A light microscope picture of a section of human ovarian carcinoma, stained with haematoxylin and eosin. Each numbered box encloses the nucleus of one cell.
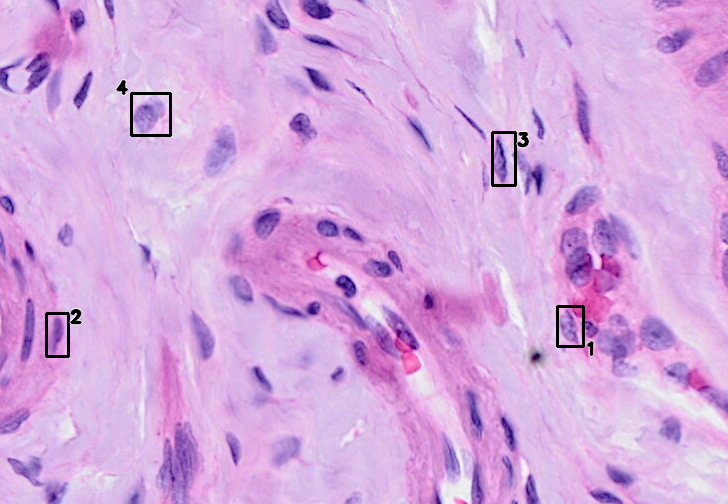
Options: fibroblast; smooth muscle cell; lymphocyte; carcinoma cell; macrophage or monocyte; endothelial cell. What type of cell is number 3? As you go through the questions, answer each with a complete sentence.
The cell referenced by the number 3 is a fibroblast in this field.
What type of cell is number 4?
Within this field of view, the cell labelled 4 is a fibroblast.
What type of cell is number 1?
In the tissue shown, cell 1 is an endothelial cell.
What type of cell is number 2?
The cell pointed out by number 2 is a smooth muscle cell.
